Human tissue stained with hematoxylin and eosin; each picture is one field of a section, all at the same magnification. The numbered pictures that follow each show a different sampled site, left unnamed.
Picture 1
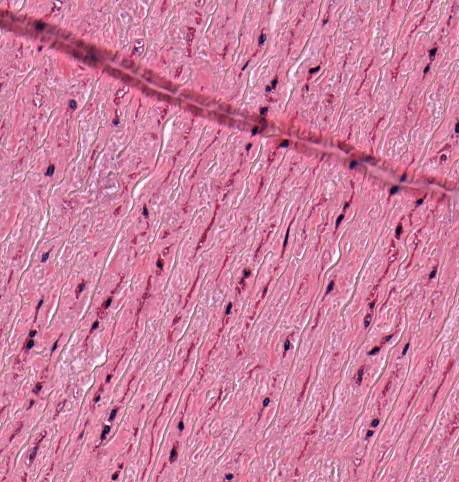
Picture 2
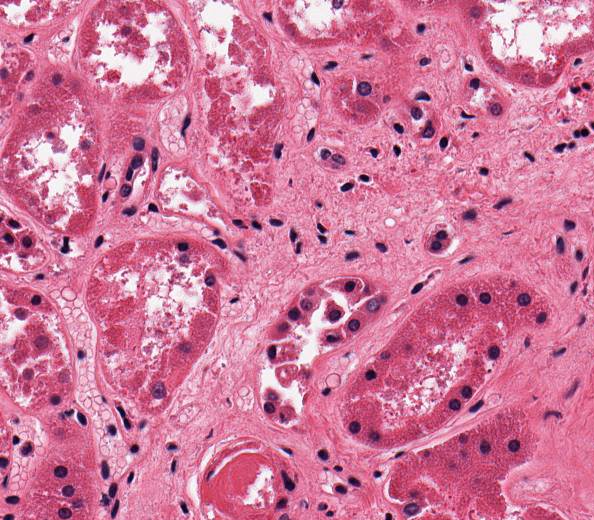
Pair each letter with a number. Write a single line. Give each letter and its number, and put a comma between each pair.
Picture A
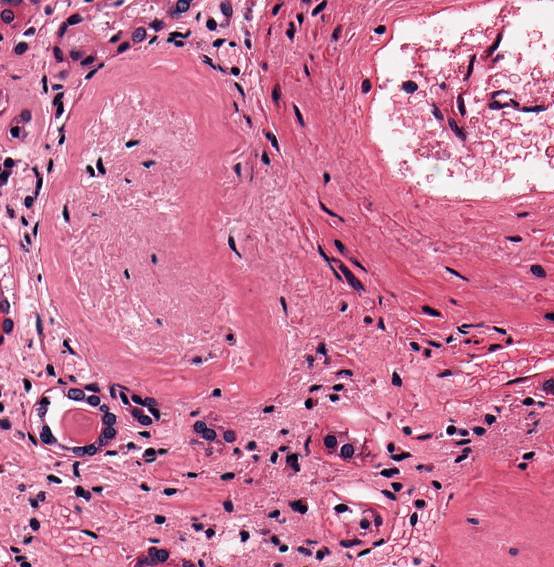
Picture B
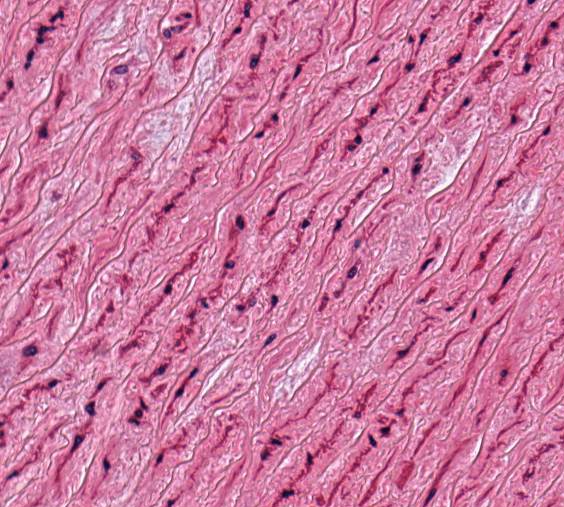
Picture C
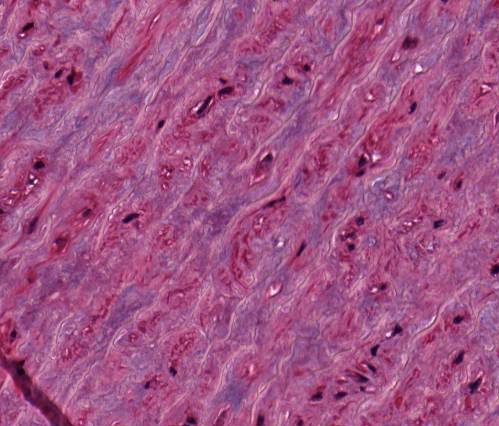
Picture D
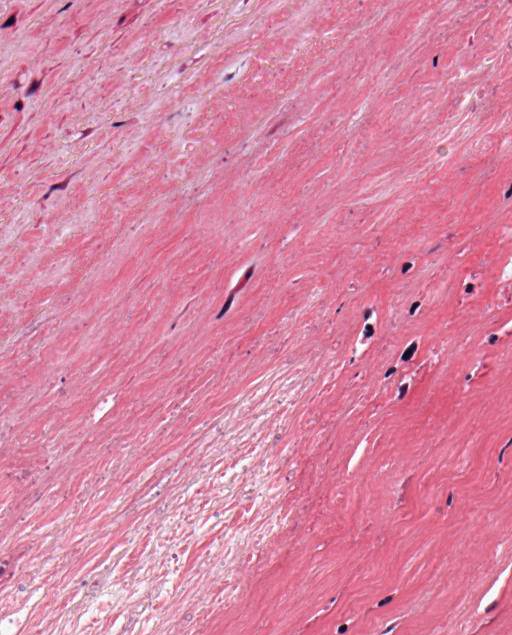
A 2, B 1, C 1, D 1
